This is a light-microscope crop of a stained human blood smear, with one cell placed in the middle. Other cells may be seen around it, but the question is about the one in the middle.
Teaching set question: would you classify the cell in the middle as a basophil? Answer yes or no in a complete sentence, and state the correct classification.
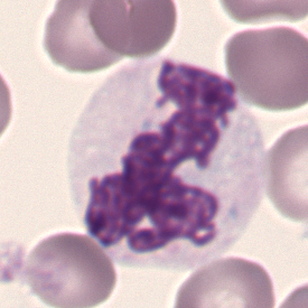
No, looking at the central cell, it is a segmented neutrophil rather than a basophil.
